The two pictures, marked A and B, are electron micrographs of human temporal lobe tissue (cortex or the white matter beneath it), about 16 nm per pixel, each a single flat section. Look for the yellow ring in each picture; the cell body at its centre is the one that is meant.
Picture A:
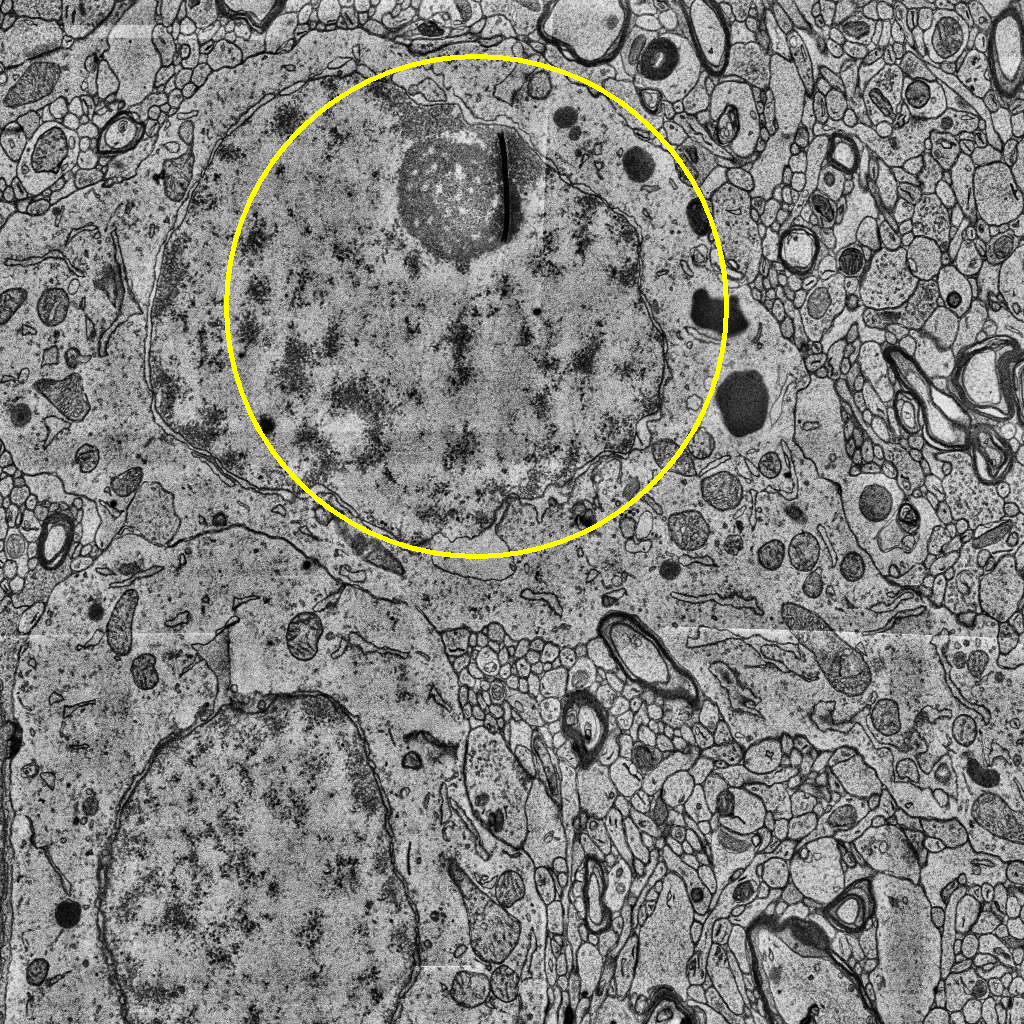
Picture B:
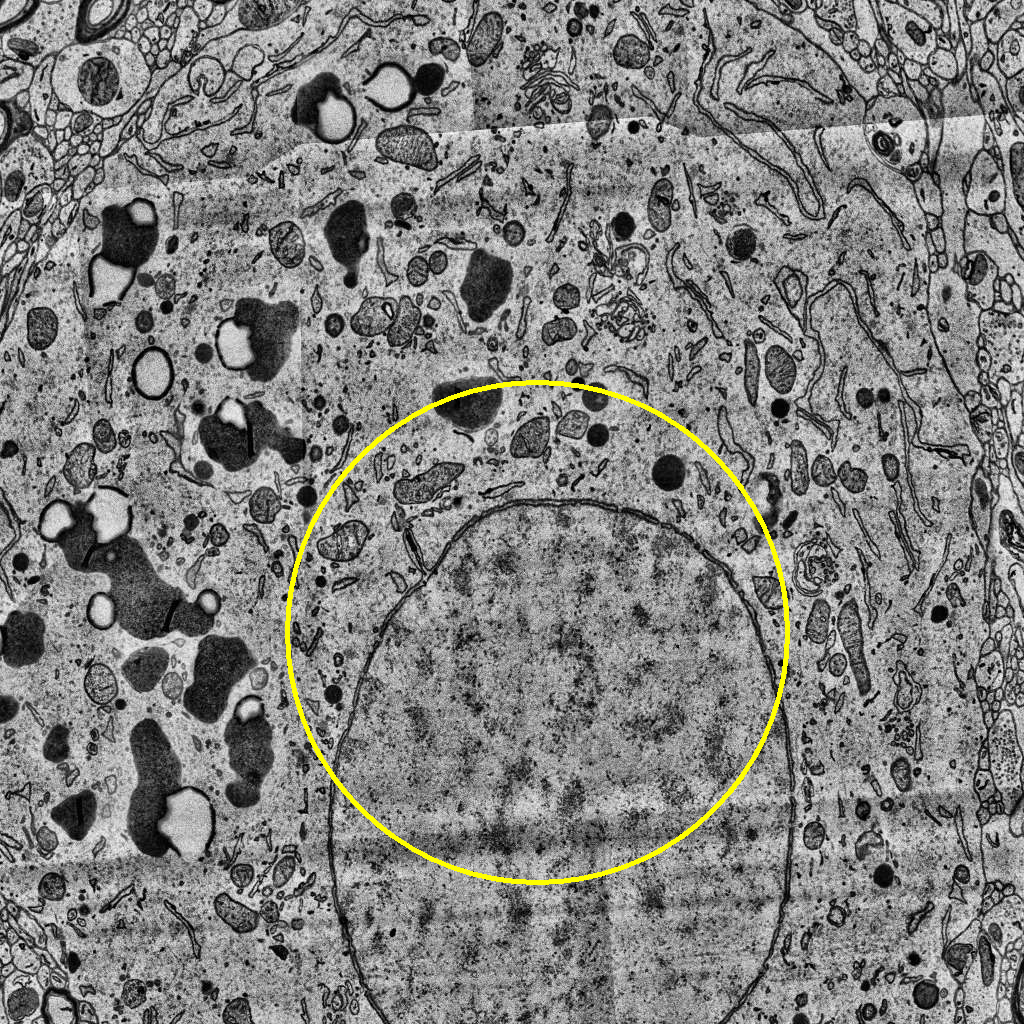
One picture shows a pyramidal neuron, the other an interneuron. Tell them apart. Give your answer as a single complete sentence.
Picture B shows a pyramidal neuron, while picture A shows an interneuron.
